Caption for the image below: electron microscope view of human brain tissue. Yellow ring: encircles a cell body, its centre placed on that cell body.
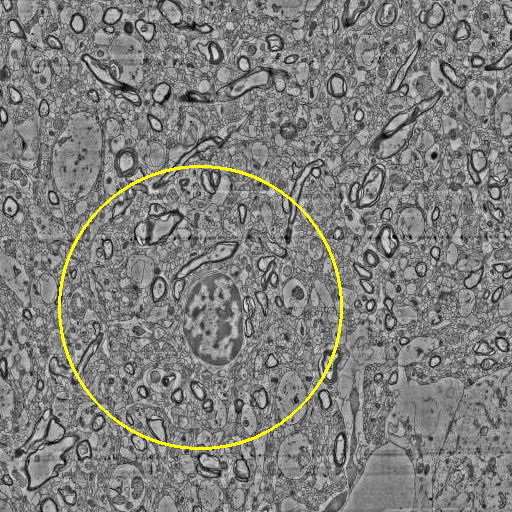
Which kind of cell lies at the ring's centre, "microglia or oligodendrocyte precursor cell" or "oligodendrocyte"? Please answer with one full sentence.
The picture shows a microglial cell or oligodendrocyte precursor cell at the centre of the yellow ring.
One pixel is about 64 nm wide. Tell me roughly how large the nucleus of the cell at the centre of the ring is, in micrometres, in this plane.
Approximately 6 micrometres long and 4 micrometres wide, in this plane.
